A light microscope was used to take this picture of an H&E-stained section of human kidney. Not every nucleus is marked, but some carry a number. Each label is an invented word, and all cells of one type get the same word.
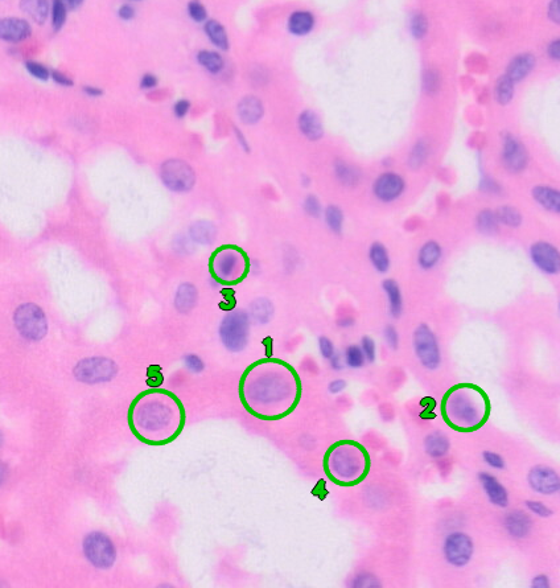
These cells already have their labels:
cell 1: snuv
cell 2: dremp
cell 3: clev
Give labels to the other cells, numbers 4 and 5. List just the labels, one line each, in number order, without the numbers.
snuv
snuv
